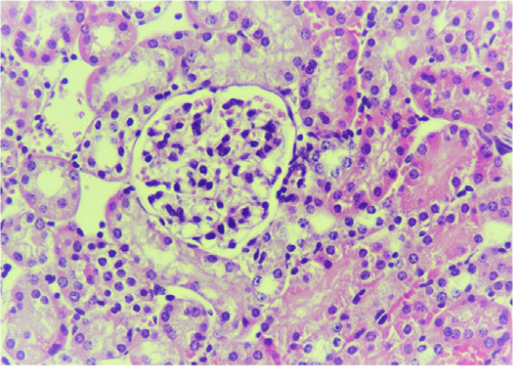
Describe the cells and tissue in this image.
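This is kidney cortex with a glomerulus in the centre, surrounded by tightly packed renal tubules. The glomerular tuft fills most of its capsule, leaving only a narrow Bowman's space, and holds many purple nuclei. Capillary loops between the nuclei are still partly visible as pale spaces. The tubules around it are lined by cells with pink, somewhat granular cytoplasm and round nuclei, with some clear lumens and spaces between them.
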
